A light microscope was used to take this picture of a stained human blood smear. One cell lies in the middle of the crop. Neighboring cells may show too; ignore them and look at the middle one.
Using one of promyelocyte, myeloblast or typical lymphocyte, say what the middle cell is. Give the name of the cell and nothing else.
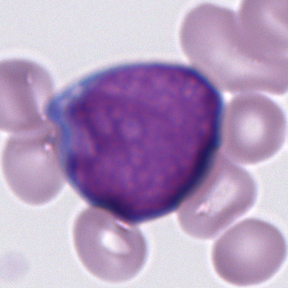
myeloblast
